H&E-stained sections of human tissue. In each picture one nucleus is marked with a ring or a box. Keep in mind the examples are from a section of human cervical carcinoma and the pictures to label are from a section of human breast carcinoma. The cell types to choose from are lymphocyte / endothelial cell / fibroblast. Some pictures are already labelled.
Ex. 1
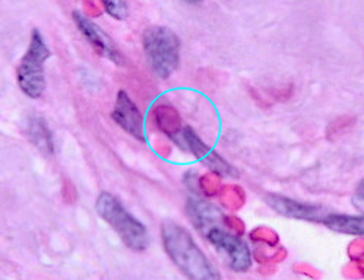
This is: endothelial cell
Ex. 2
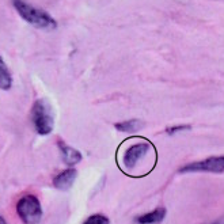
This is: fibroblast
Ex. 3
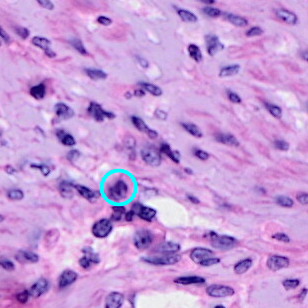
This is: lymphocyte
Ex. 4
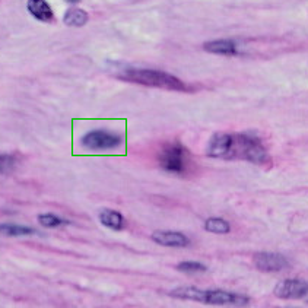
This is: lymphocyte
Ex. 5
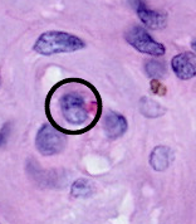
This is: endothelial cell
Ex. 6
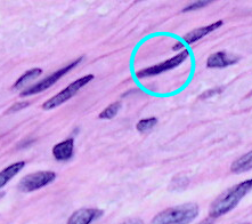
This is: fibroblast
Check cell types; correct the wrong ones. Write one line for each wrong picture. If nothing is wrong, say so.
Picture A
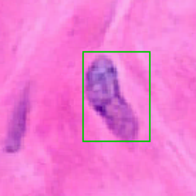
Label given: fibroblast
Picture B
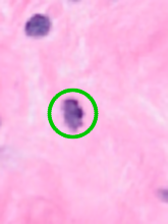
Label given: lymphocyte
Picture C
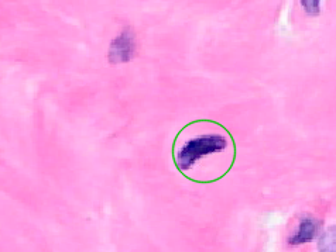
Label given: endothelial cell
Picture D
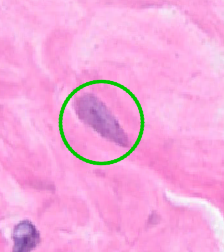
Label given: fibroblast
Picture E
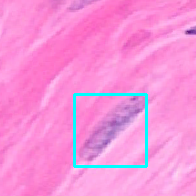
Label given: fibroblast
C should be lymphocyte, not endothelial cell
